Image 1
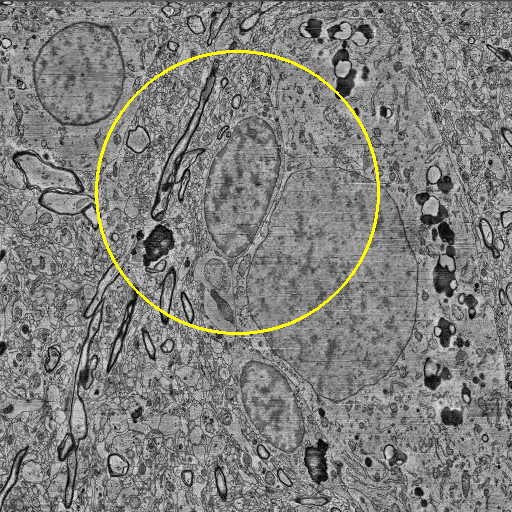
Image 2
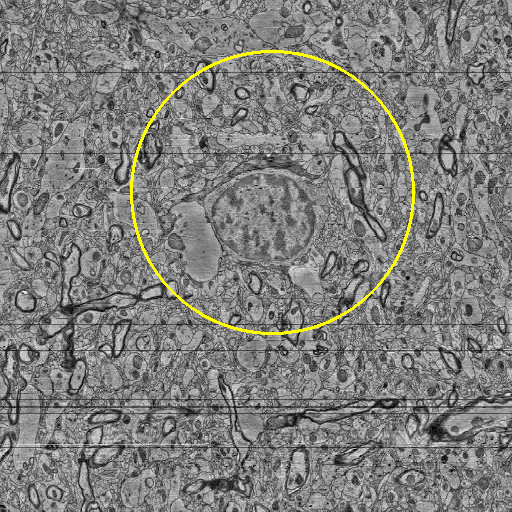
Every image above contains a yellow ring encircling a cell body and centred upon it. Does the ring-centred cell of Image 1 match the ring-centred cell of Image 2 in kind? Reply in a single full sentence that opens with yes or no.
Yes, the cell at the ring's centre in Image 1 is the same kind as that in Image 2.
